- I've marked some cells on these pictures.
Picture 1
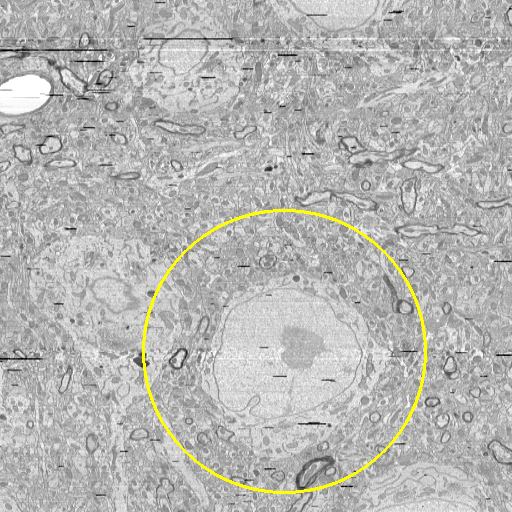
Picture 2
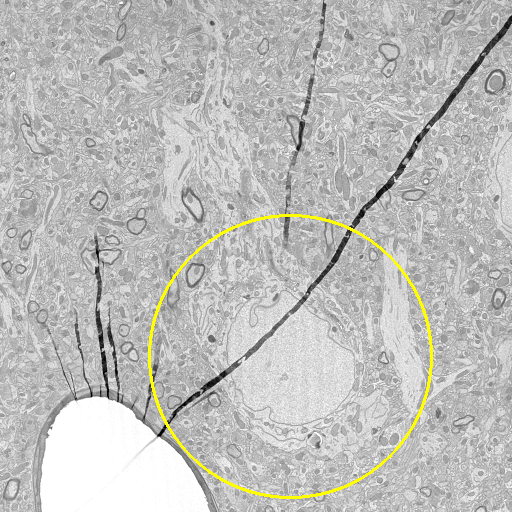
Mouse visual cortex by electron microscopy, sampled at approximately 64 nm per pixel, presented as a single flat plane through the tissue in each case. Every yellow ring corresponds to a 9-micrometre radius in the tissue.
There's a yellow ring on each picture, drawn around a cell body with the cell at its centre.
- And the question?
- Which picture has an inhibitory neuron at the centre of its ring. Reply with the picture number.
2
